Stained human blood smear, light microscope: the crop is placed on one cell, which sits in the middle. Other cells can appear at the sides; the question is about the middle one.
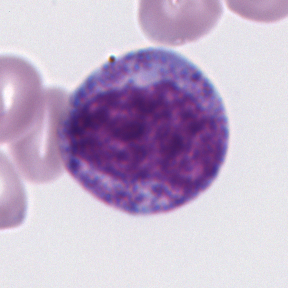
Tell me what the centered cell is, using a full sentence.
The cell featured at the centre of this crop is a myelocyte.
